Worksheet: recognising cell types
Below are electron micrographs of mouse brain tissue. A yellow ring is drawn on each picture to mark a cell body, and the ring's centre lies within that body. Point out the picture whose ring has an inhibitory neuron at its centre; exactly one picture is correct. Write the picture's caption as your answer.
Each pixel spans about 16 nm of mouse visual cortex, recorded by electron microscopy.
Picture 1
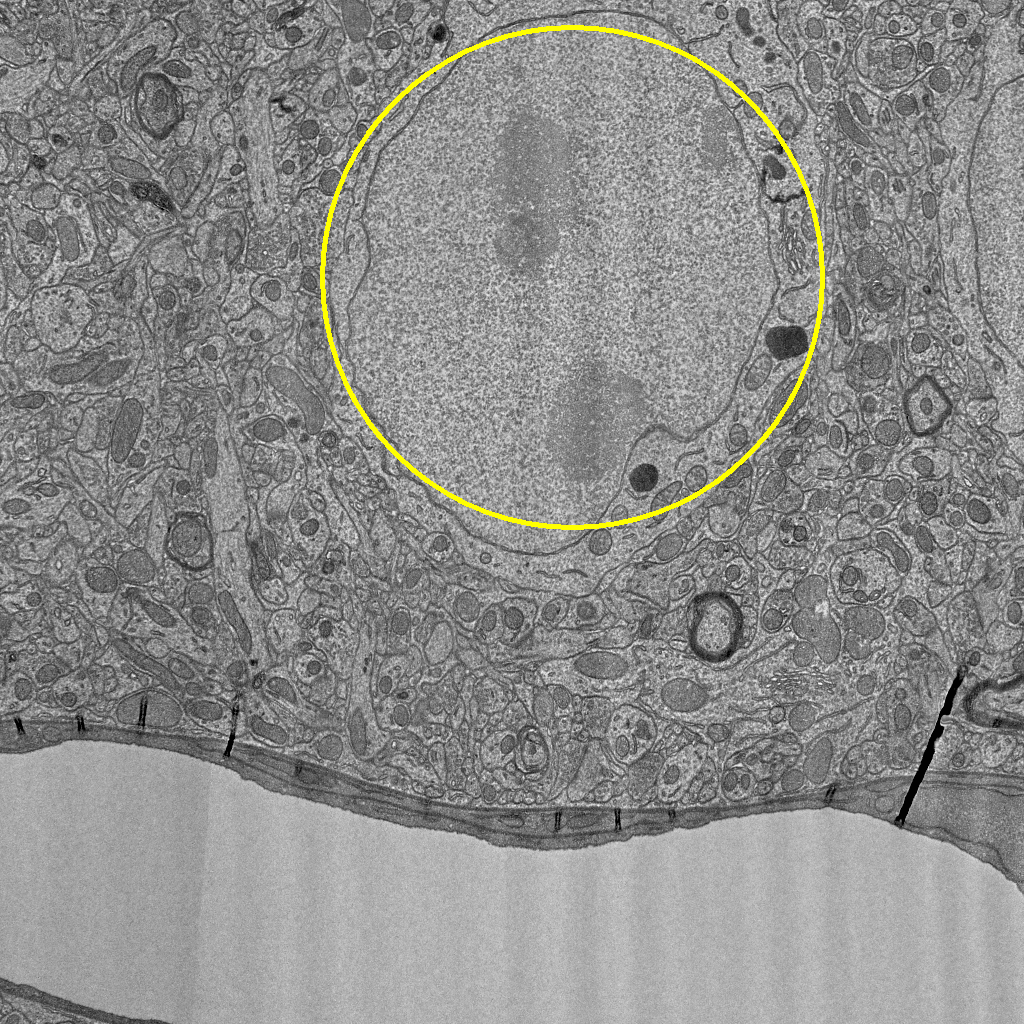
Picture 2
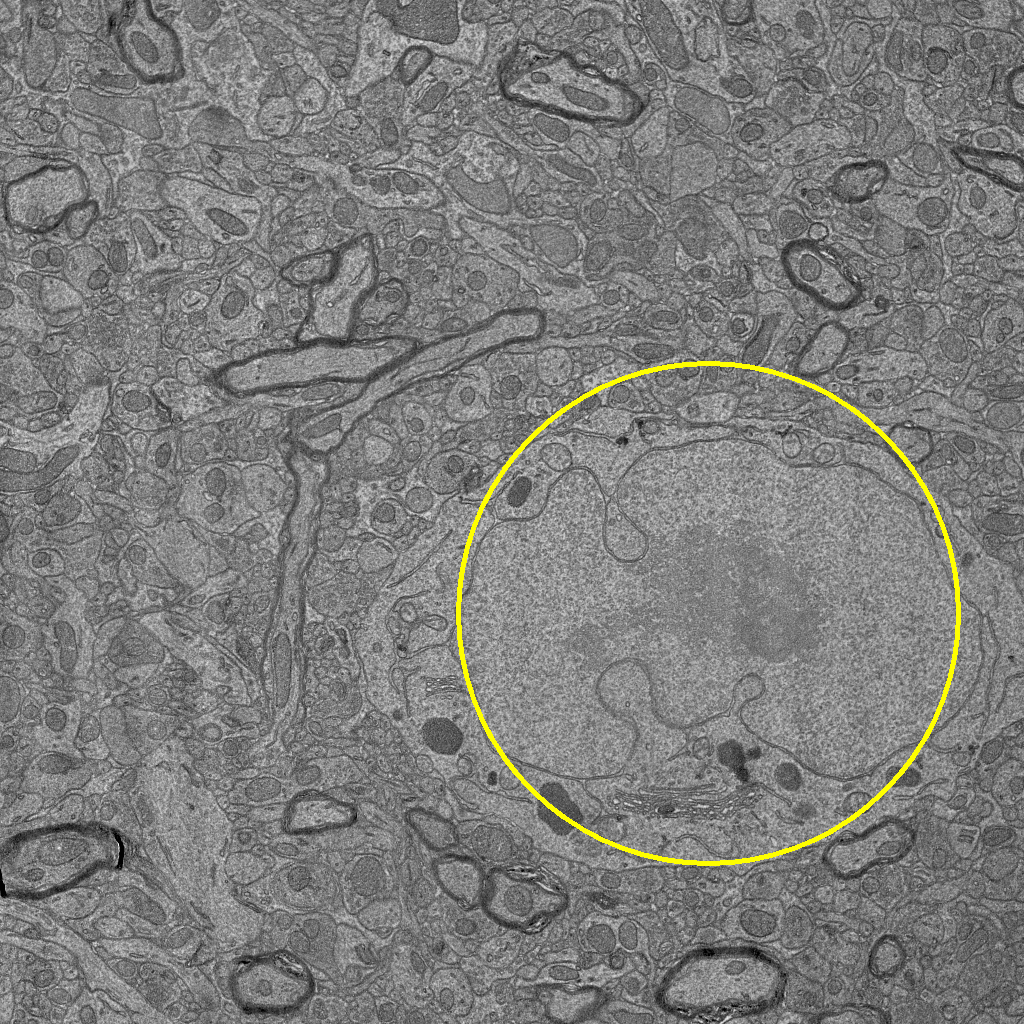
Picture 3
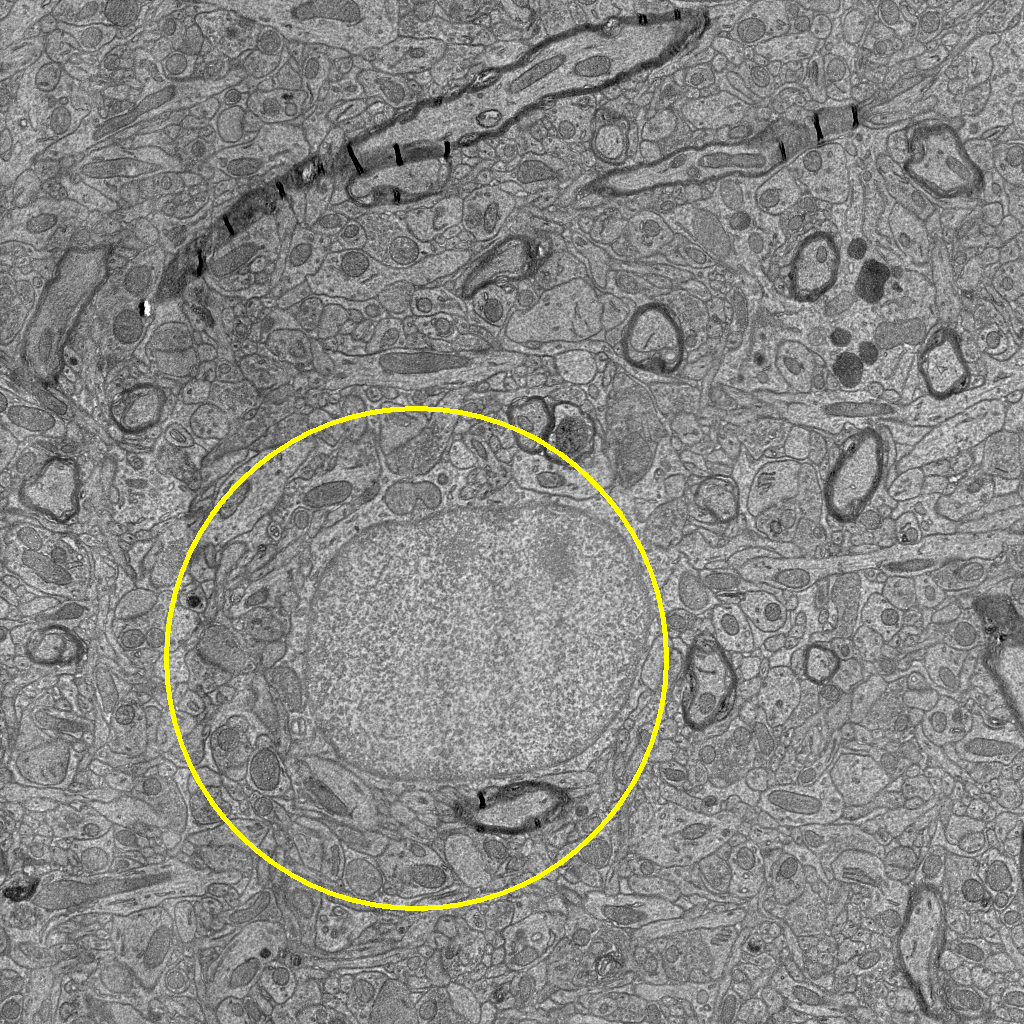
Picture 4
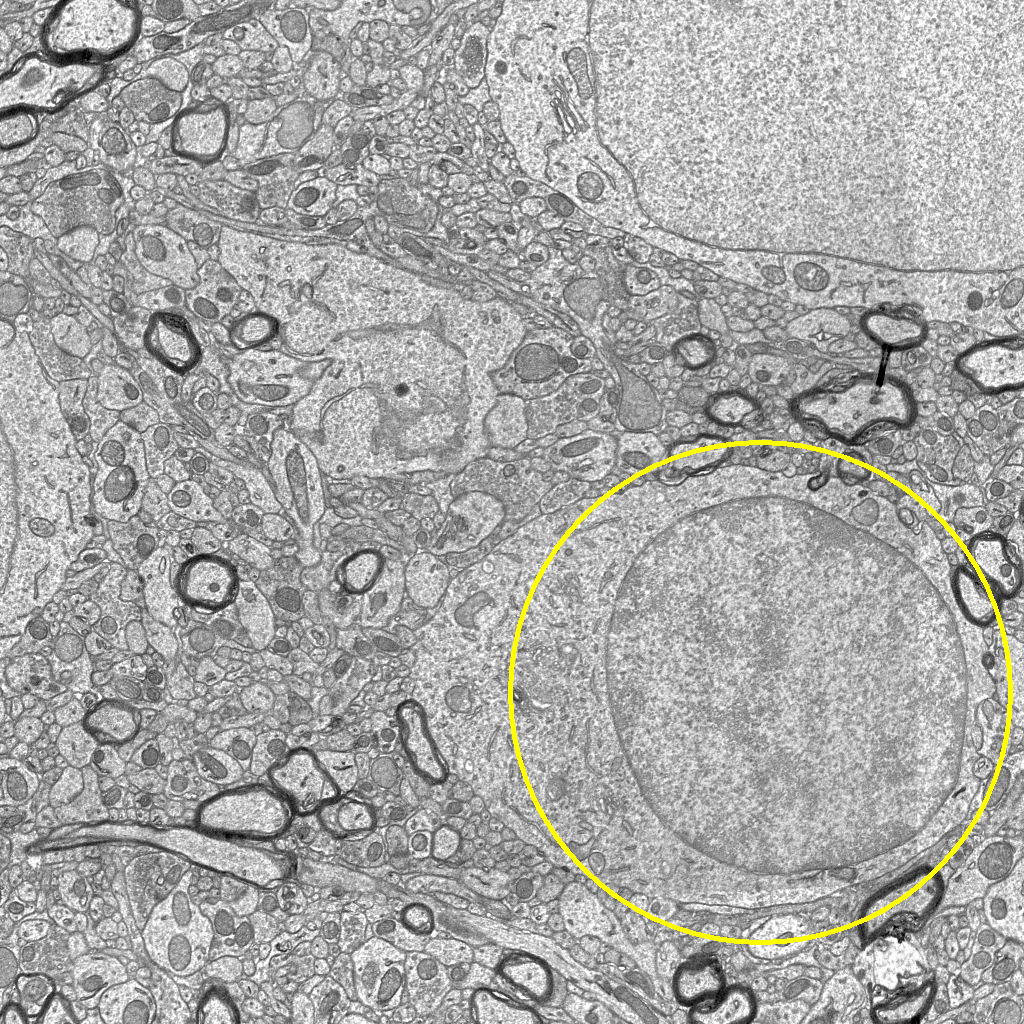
Picture 2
